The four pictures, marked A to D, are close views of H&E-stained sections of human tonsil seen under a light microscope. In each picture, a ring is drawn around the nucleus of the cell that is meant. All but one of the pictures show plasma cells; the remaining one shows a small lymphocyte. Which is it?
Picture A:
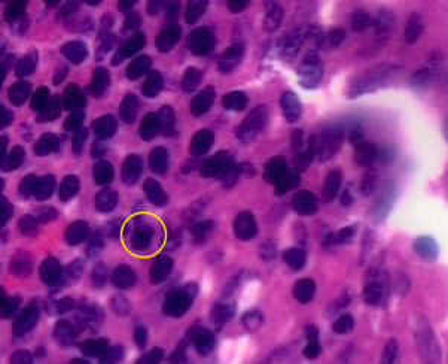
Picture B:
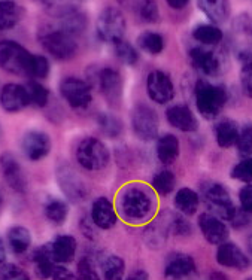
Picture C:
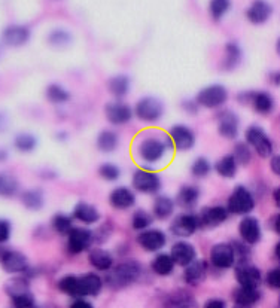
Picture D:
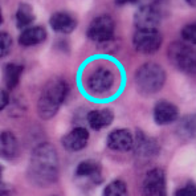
C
